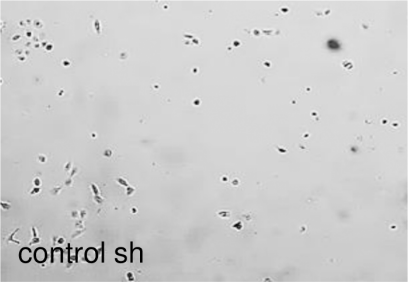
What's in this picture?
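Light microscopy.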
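Only scattered single cells and a few small groups are present, widely separated from one another. Most cells are small, some rounded and dark, others slightly elongated or spindle-shaped. Large parts of the field contain no cells at all.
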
